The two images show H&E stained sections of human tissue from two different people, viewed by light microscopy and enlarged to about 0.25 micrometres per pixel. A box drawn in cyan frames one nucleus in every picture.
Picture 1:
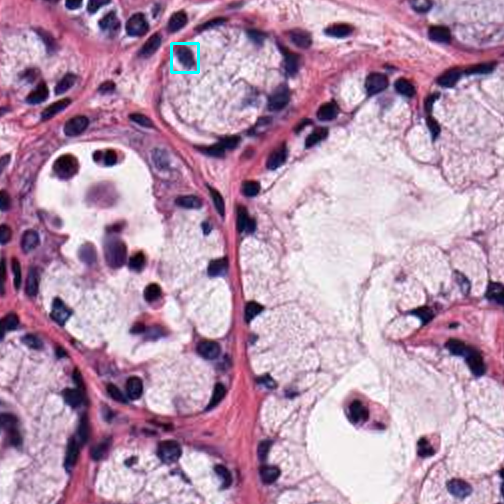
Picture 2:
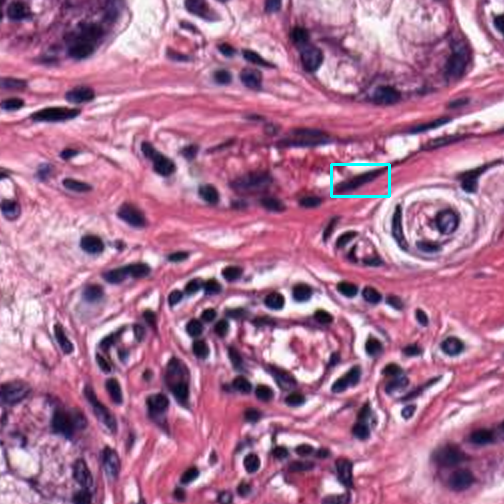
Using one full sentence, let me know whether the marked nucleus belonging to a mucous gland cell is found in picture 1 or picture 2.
The nucleus of a mucous gland cell carries the mark in picture 1.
